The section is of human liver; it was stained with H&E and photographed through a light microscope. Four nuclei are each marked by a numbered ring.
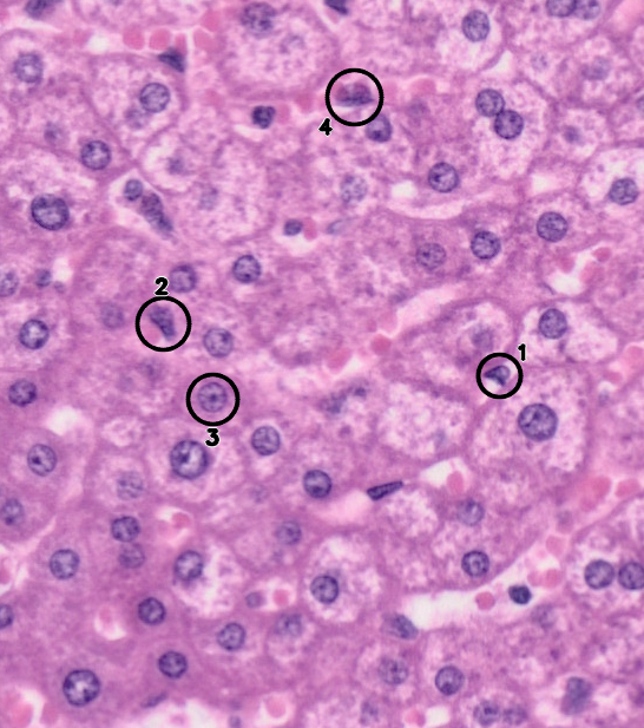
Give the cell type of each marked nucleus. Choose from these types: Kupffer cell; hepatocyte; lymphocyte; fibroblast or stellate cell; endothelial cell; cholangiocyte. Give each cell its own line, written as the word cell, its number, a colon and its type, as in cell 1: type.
cell 1: endothelial cell
cell 2: endothelial cell
cell 3: hepatocyte
cell 4: endothelial cell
